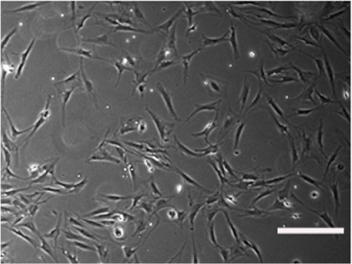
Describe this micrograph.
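The cell bodies are drawn out into long spindles, many with slender processes tapering at both ends. They lie spread on the dish with spaces between them, some roughly aligned with their neighbours. A few small rounded, bright cells stand out among the flattened spindles.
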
